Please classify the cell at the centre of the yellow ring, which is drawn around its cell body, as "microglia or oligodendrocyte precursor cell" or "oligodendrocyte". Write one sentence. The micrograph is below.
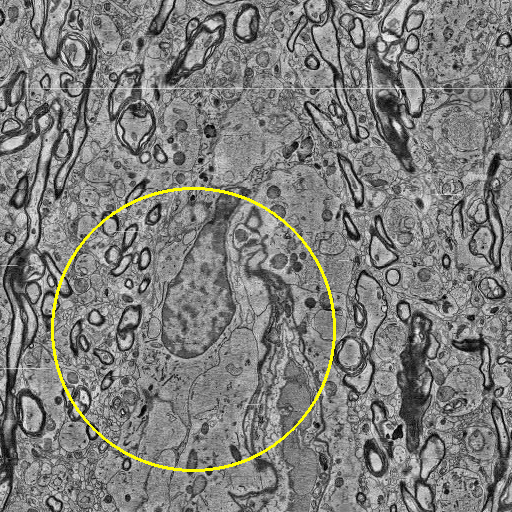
The cell at the ring's centre is classified as a microglial cell or oligodendrocyte precursor cell.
